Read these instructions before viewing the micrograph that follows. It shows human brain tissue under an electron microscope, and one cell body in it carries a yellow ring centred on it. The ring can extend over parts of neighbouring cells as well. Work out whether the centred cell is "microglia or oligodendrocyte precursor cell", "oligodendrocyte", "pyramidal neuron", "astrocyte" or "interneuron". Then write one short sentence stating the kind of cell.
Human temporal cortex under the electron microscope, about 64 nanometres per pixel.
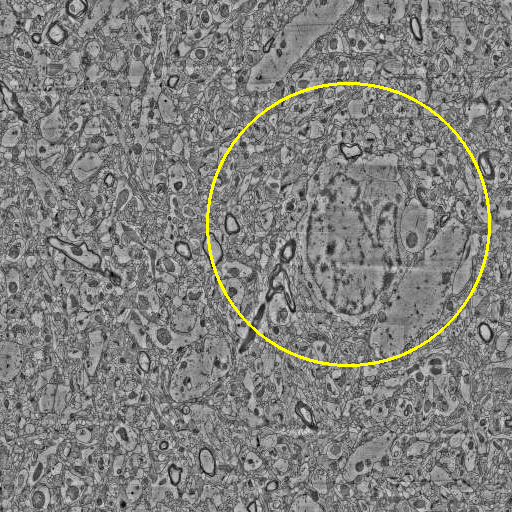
The ringed cell is an interneuron.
